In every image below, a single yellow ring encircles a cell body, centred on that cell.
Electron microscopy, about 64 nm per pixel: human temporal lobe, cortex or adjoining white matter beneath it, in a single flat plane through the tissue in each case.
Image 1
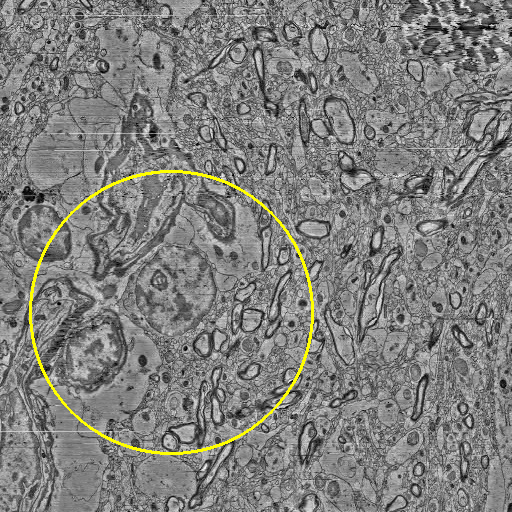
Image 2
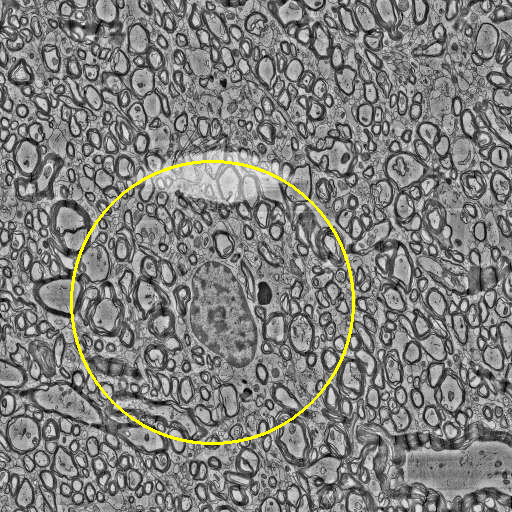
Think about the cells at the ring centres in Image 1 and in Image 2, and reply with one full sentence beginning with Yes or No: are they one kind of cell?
No, the cells centred in the rings of Image 1 and Image 2 are two kinds of cell.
